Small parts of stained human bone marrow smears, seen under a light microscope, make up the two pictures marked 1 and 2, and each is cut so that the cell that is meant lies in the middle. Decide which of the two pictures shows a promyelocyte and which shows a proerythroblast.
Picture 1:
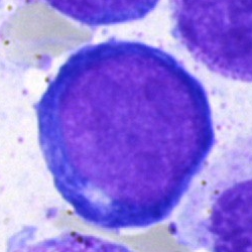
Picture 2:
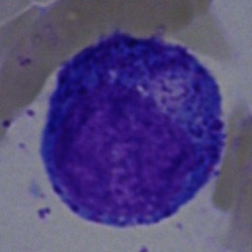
1: proerythroblast
2: promyelocyte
